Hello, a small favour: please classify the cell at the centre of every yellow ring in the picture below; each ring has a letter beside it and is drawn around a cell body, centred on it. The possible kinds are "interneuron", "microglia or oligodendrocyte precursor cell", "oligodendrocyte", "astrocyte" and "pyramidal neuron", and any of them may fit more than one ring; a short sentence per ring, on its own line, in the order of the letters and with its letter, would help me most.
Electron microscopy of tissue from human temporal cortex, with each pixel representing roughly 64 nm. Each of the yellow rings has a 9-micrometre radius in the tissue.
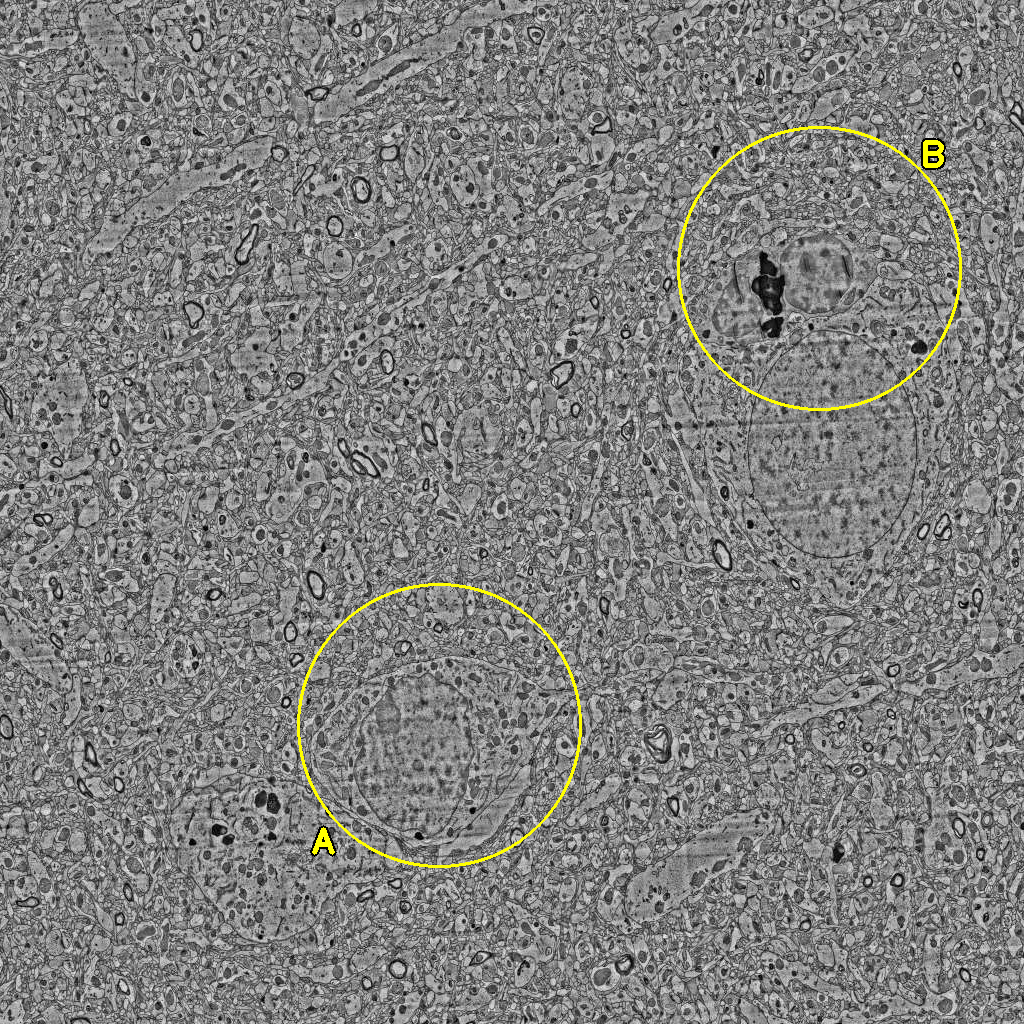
The centre of ring A falls on an interneuron.
The centre of ring B falls on an oligodendrocyte.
